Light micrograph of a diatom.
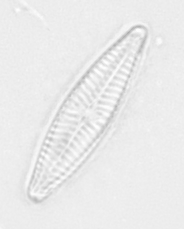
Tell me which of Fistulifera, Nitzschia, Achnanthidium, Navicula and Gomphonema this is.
The picture shows Navicula.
